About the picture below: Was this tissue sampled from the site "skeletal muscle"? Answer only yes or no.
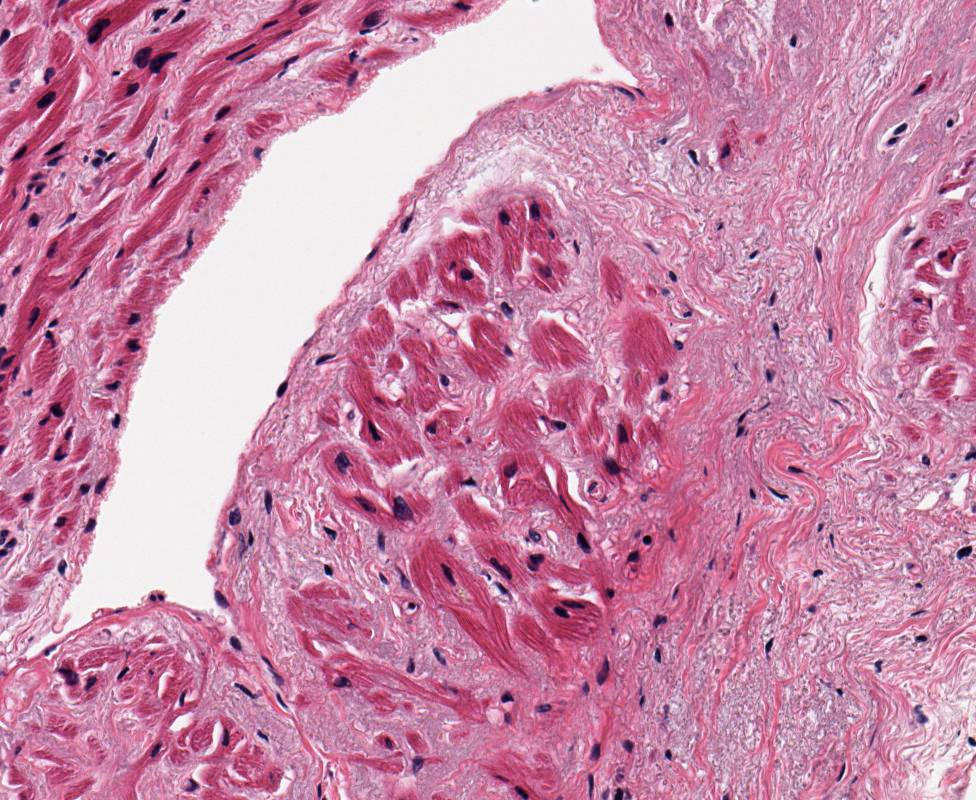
no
